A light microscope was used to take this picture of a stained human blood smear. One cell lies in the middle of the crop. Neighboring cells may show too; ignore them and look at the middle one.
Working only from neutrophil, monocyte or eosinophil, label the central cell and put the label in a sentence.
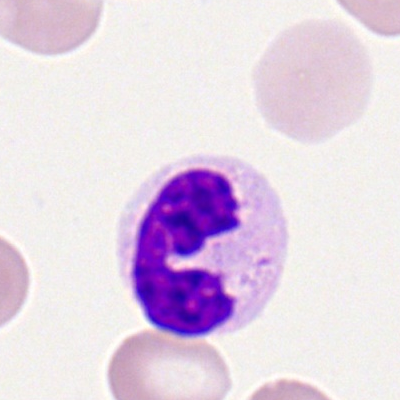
The cell found in the middle of this crop is a neutrophil.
